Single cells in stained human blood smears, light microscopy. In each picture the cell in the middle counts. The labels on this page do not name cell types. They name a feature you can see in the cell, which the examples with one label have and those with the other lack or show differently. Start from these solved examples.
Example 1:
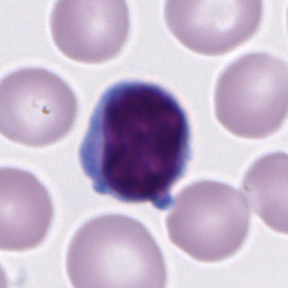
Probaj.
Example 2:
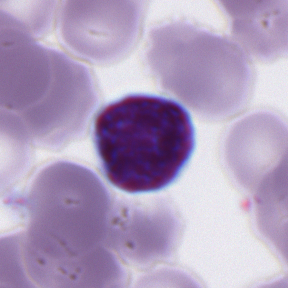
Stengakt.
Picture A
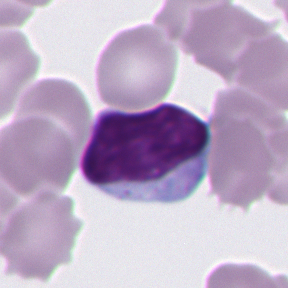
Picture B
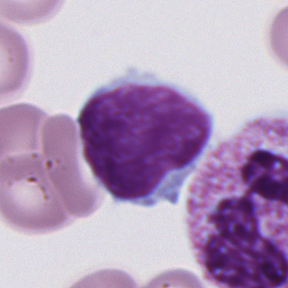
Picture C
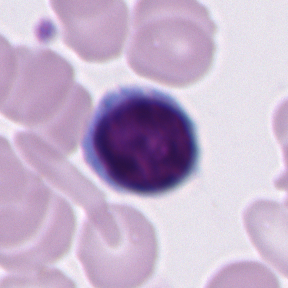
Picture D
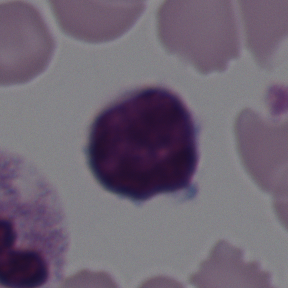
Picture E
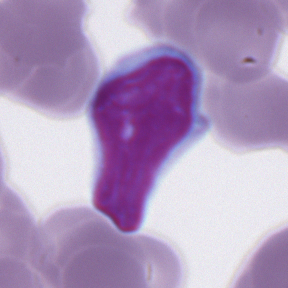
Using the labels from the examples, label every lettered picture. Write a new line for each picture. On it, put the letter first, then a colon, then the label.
A: Stengakt.
B: Probaj.
C: Stengakt.
D: Probaj.
E: Probaj.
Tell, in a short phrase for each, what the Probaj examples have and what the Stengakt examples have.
Probaj: ragged outline or projections; Stengakt: smooth outline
